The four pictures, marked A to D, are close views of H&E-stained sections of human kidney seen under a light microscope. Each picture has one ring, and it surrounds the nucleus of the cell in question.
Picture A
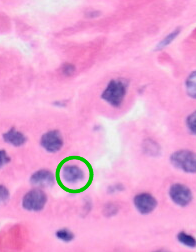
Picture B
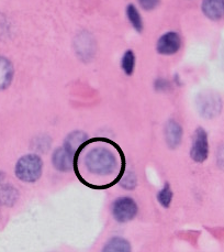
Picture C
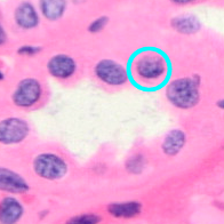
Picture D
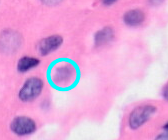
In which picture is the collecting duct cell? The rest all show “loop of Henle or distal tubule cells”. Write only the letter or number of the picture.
B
